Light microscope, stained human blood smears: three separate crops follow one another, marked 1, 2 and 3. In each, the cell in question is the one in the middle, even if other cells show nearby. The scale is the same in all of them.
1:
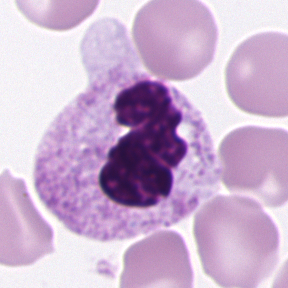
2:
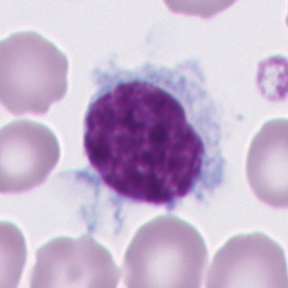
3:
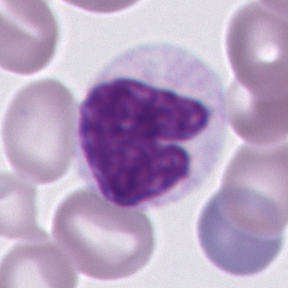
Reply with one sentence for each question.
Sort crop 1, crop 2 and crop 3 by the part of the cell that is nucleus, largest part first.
From the most filled to the least, the order is 2, 3, 1.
